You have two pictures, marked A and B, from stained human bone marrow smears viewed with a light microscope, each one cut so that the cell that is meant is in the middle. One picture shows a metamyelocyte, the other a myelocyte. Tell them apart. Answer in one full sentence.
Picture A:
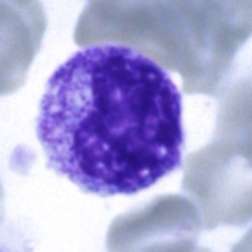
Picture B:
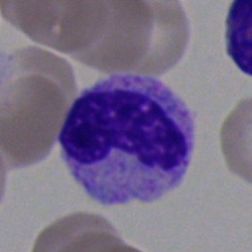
Picture A is of a myelocyte, and picture B is of a metamyelocyte.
